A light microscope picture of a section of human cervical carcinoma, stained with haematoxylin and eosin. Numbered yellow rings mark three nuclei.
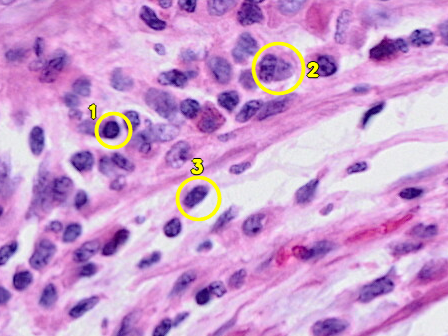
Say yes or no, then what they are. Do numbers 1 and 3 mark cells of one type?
Yes, both are lymphocytes.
